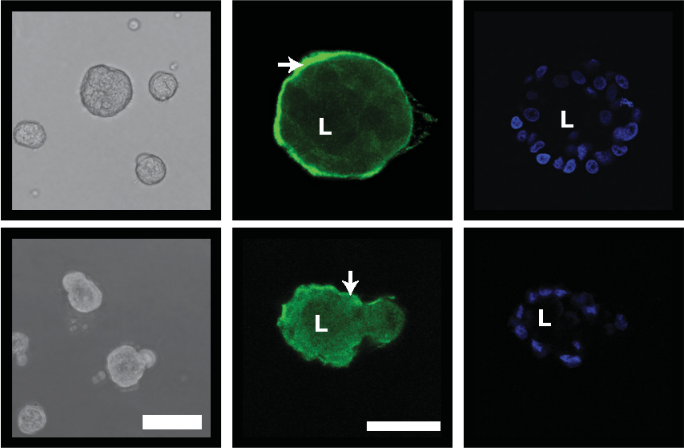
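In phase contrast they appear as rounded multicellular spheres of different sizes, some with budding, irregular outlines. In the fluorescence images a bright green layer outlines the outer surface of each structure, with fainter green inside. Blue nuclei lie in a single ring at the periphery, surrounding a central hollow lumen that lacks nuclei. One row shows a large, regular sphere; the other shows a smaller, lobed structure with fewer nuclei around its lumen.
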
